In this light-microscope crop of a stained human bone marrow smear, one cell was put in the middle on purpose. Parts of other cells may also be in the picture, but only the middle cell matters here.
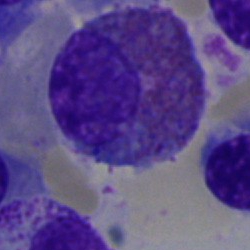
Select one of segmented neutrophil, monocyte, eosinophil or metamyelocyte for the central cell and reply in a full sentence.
In the middle of this smear crop, the cell is an eosinophil.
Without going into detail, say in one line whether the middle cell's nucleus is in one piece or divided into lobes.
There is one compact nucleus, and its shape is round, oval or kidney-like.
